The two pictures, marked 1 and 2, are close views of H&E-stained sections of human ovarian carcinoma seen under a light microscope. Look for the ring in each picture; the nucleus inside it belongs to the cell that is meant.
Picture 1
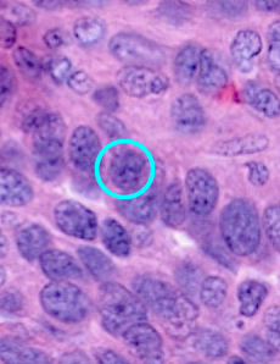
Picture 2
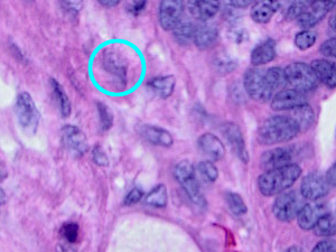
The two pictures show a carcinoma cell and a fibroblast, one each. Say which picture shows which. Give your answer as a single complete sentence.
The cell in picture 1 is a carcinoma cell, and the one in picture 2 is a fibroblast.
